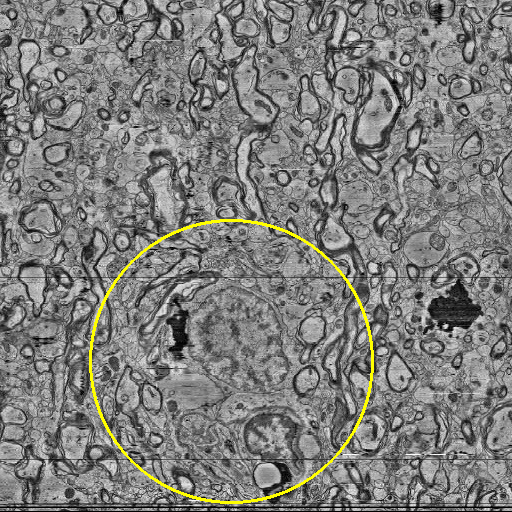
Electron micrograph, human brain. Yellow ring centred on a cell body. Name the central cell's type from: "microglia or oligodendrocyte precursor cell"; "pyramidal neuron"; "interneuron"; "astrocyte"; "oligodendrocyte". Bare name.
oligodendrocyte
